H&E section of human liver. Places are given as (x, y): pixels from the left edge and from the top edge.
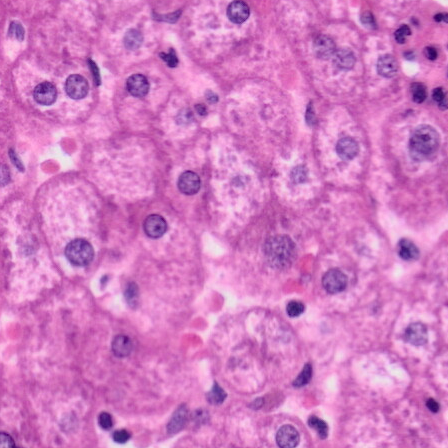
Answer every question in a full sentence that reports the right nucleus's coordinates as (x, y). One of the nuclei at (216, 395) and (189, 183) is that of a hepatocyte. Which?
The nucleus at (189, 183), rather than the other one, belongs to a hepatocyte.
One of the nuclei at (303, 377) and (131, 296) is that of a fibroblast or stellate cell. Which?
It is the nucleus at (303, 377), not the other one, that belongs to a fibroblast or stellate cell.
